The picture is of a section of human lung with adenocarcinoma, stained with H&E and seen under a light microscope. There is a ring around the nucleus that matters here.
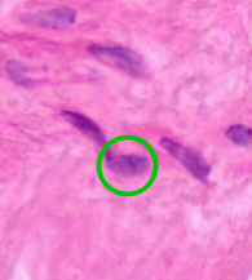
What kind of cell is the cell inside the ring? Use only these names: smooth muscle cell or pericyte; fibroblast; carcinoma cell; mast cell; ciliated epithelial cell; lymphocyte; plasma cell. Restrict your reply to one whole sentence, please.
In cellular terms, the cell inside the ring is a smooth muscle cell or pericyte.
